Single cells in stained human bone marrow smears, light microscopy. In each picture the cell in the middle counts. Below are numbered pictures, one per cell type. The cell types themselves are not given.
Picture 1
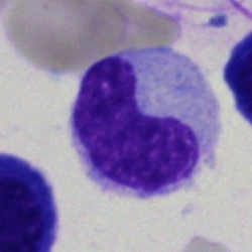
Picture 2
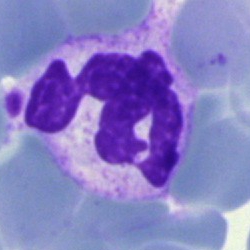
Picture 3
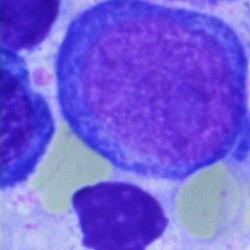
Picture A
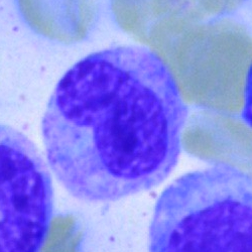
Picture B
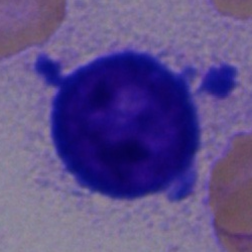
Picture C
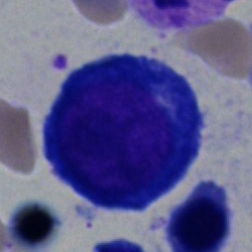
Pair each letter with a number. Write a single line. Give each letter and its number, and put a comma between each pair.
A 1, B 3, C 3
